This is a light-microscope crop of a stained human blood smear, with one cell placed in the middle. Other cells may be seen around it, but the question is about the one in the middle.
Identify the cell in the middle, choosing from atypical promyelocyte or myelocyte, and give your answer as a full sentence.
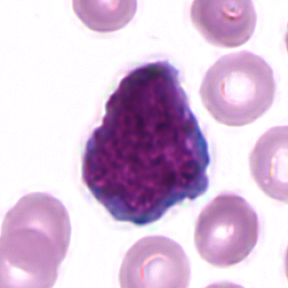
The cell at the centre of the field is an atypical promyelocyte.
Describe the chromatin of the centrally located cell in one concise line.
The nucleus shows chromatin that is coarsely clumped.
